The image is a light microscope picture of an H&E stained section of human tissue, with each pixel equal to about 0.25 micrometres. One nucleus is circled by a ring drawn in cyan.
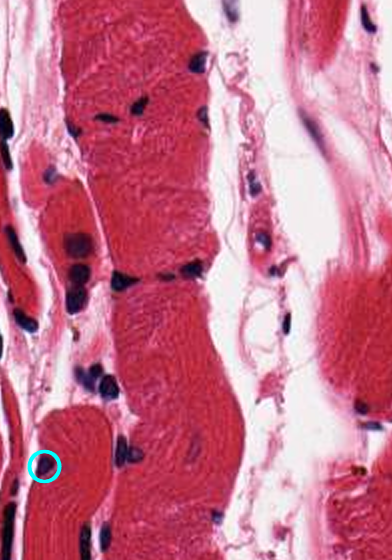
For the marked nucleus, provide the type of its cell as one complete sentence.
What is marked is the nucleus of a skeletal muscle fibre.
